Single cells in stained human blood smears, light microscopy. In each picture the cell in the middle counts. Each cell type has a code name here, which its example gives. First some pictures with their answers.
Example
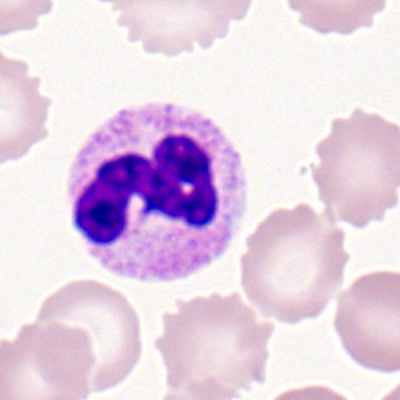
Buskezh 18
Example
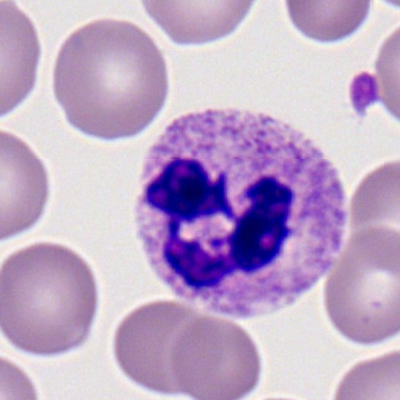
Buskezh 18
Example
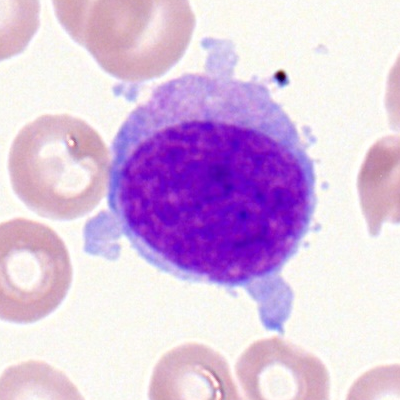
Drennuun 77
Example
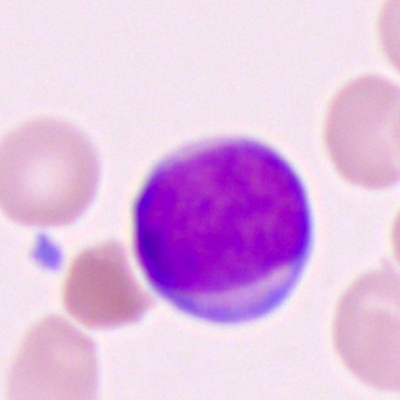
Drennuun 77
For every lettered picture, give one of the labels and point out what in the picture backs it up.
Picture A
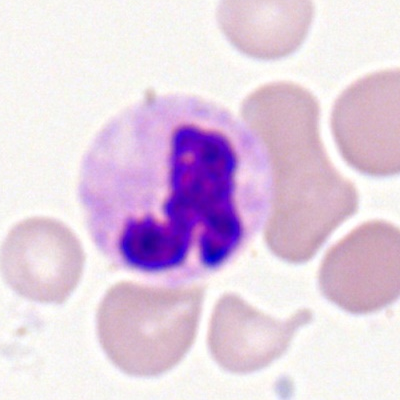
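Buskezh 18. Evidence: The nucleus is a single curved, hook-shaped mass.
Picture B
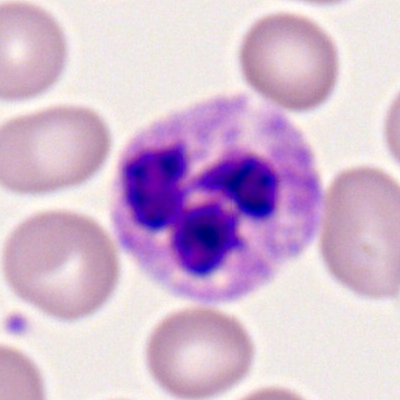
Buskezh 18. Evidence: The nucleus is divided into three separate lobes.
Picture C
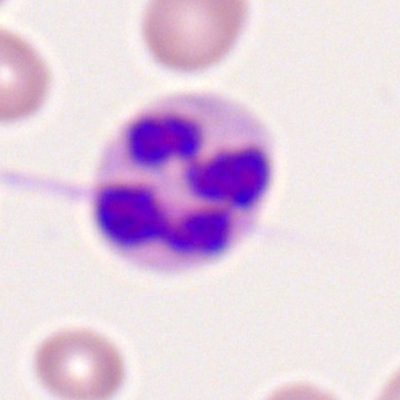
Buskezh 18. Evidence: The nucleus is divided into several separate lobes.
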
